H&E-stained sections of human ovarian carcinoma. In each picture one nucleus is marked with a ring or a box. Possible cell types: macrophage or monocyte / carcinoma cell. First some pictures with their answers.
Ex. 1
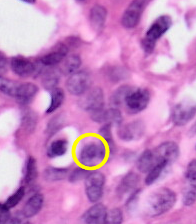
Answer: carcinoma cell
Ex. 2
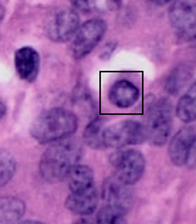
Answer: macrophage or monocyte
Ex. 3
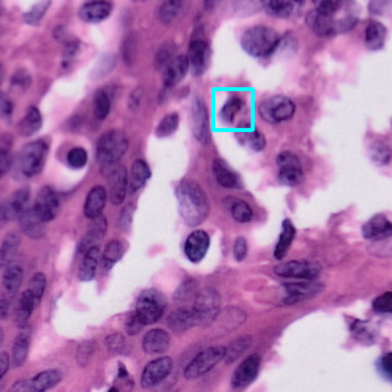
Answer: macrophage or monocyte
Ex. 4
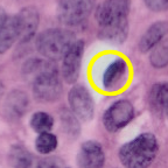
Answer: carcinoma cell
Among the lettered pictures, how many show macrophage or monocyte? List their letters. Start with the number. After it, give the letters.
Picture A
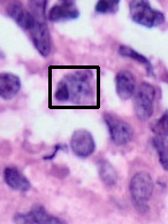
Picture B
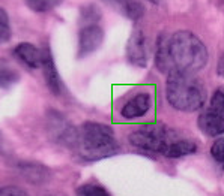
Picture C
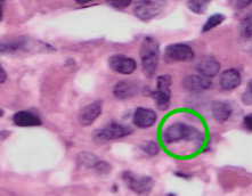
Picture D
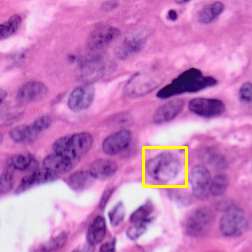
4: A, B, C, D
